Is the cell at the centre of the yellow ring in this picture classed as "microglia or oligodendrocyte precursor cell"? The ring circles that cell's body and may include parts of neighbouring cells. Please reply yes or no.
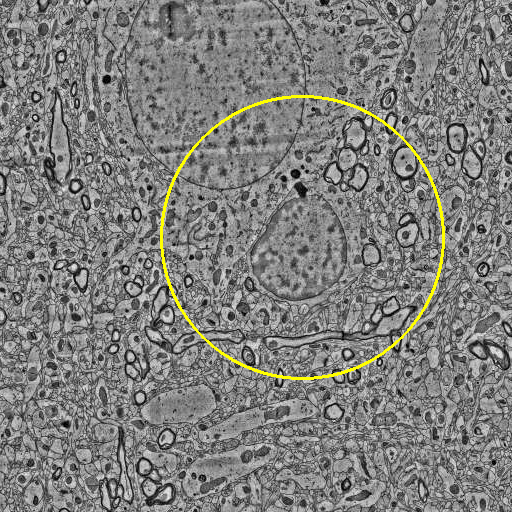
No, it is of another kind.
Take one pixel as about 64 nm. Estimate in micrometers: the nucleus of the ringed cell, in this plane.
The nucleus measures about 7 by 6 micrometres in this plane.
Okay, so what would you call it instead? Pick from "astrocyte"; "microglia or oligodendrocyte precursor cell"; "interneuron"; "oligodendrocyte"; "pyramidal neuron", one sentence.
The cell marked by the ring is an oligodendrocyte.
